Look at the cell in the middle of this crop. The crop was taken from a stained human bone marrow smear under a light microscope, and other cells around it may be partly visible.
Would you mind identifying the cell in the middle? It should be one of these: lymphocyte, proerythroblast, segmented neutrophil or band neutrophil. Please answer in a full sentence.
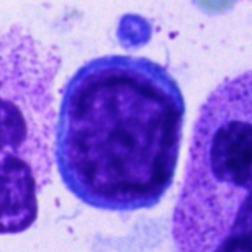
The centrally placed cell is classified as a proerythroblast.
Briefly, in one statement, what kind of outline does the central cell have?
The border of this cell runs smooth and free of any projections.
